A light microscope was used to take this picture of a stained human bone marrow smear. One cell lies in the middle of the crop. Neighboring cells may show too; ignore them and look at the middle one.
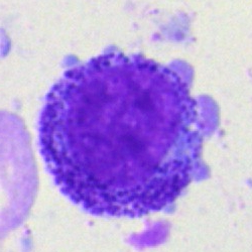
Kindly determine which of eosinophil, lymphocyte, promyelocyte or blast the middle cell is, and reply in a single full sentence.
Of the cells in this crop, the central one is a promyelocyte.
